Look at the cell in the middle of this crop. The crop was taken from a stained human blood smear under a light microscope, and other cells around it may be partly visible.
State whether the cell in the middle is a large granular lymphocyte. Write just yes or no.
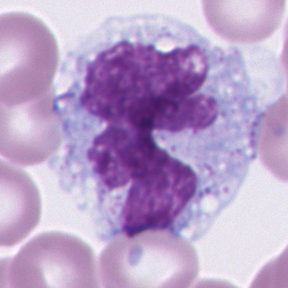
no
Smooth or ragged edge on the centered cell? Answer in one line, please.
The cell margin is rough and uneven, either ragged or drawn into projections.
